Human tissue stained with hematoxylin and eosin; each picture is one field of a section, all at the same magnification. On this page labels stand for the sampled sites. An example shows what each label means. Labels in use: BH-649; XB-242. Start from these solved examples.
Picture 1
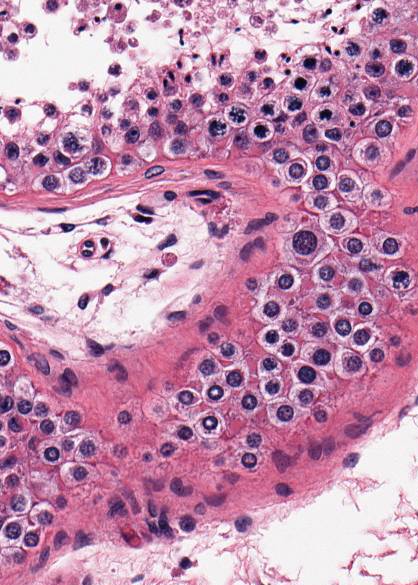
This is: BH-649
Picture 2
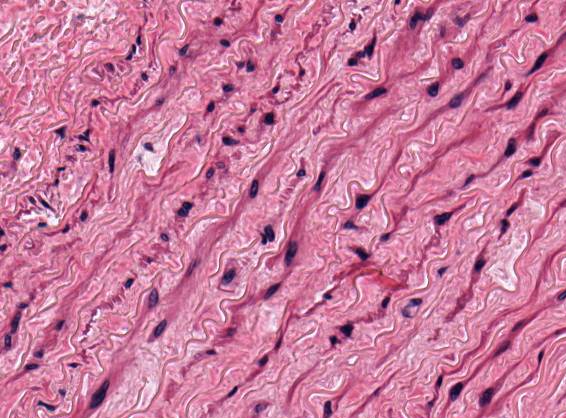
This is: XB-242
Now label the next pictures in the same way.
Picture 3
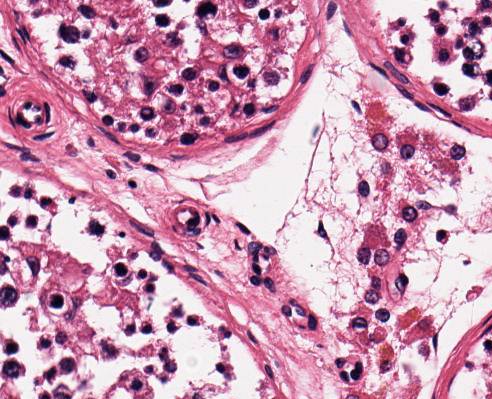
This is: BH-649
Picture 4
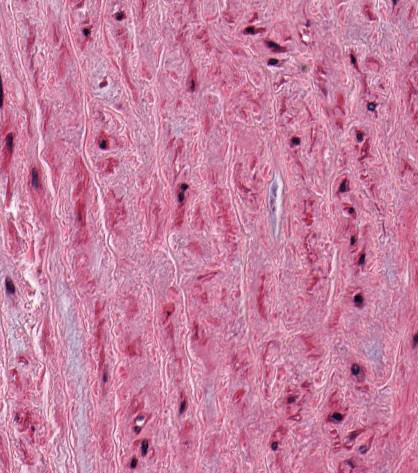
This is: XB-242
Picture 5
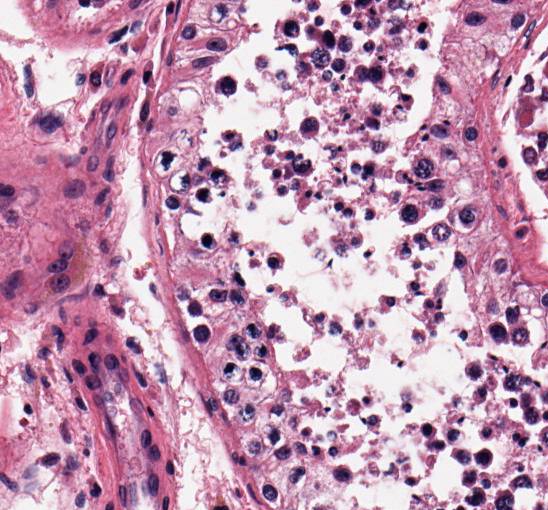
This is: BH-649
